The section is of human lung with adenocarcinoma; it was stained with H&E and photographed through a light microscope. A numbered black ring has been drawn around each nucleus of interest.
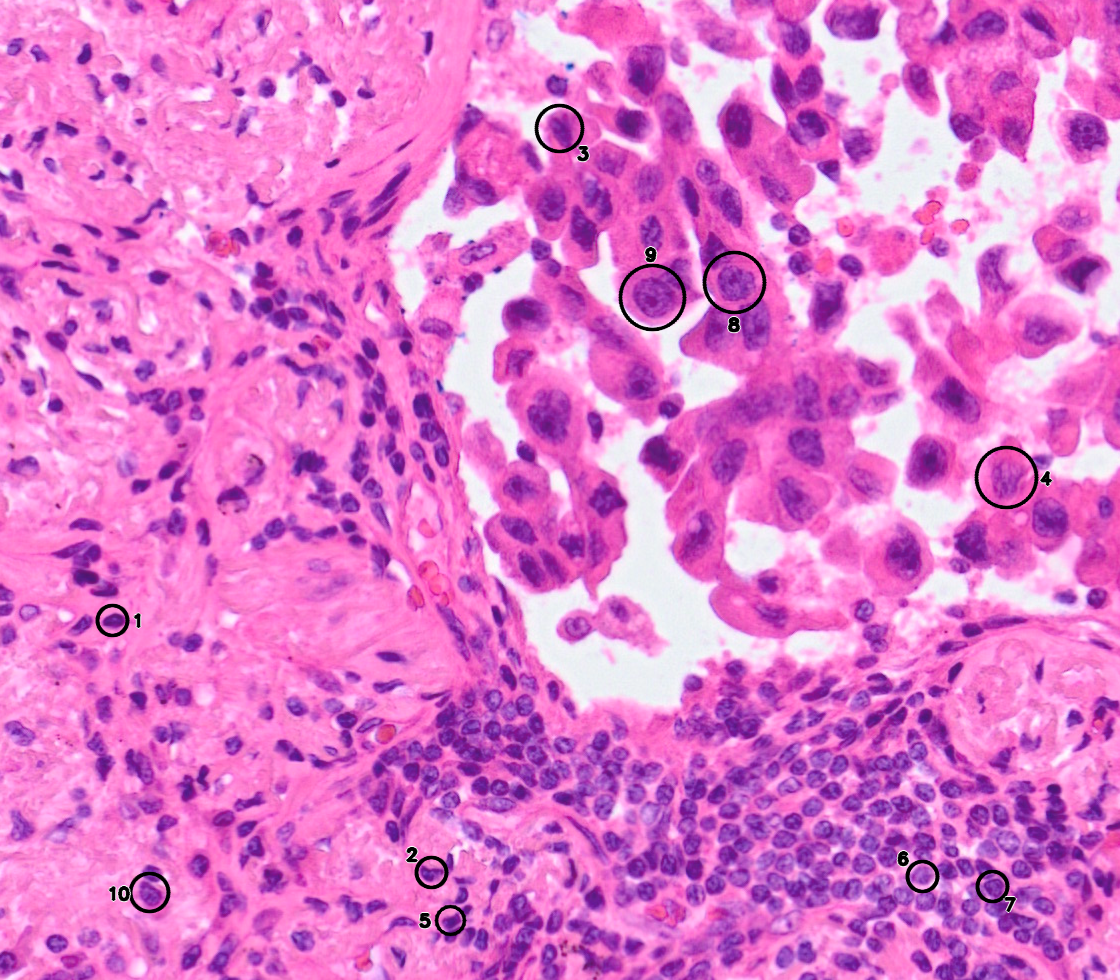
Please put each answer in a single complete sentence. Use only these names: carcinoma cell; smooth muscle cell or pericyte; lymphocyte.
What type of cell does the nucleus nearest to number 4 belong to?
Closest to number 4 lies the nucleus of a lymphocyte.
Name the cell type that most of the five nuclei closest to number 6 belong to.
Lymphocytes make up most of the five nuclei closest to number 6.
